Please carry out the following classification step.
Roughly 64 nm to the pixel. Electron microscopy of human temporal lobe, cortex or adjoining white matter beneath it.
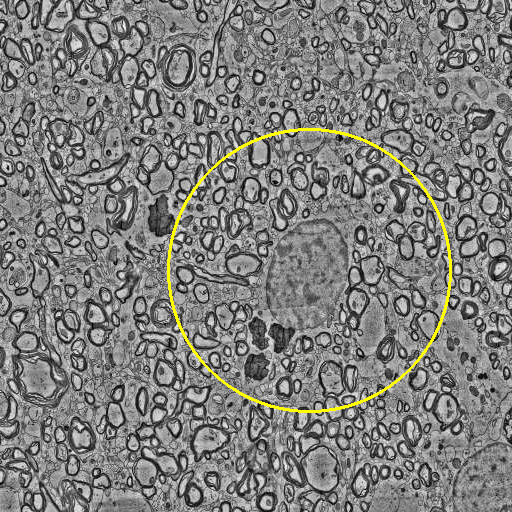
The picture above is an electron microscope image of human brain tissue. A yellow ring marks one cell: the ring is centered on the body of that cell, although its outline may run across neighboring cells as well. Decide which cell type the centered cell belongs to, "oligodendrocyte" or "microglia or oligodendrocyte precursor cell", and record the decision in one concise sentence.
The cell centered in the yellow ring is an oligodendrocyte.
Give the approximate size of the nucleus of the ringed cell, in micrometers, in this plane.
Roughly 8 by 6 micrometres in this plane, for the nucleus of the ringed cell.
